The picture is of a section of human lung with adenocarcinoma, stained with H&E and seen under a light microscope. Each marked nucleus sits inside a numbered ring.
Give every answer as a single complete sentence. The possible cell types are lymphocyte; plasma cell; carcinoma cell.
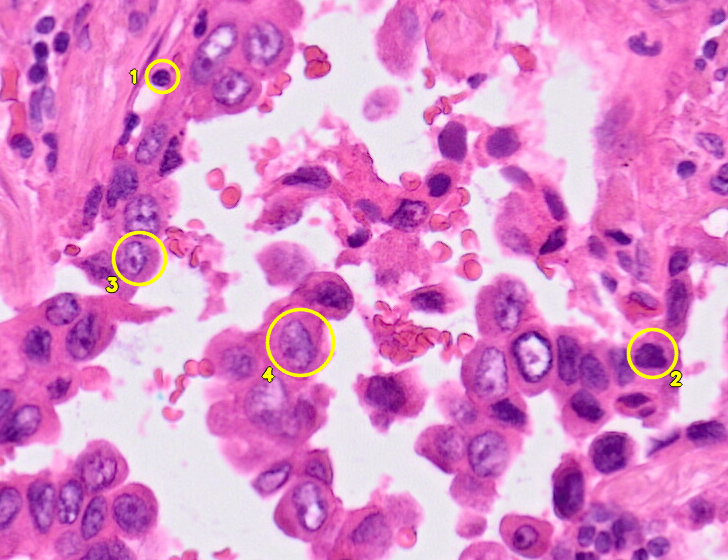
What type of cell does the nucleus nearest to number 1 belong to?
Closest to number 1 lies the nucleus of a carcinoma cell.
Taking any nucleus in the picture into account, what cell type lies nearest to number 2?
Closest to number 2 lies the nucleus of a carcinoma cell.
